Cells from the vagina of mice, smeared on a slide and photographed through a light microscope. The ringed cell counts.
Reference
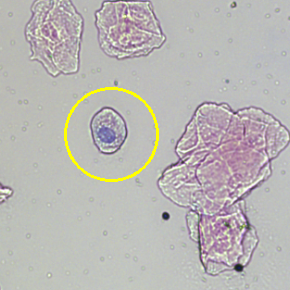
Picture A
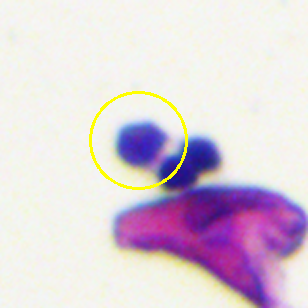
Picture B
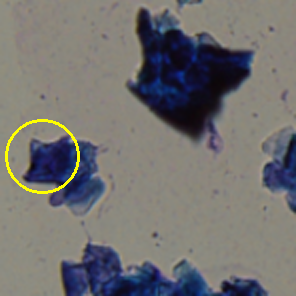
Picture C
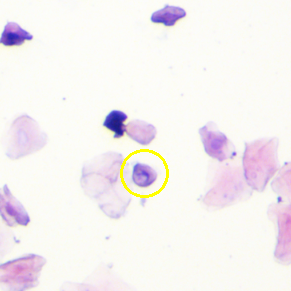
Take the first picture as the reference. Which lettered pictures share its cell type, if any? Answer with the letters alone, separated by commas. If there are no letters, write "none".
C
